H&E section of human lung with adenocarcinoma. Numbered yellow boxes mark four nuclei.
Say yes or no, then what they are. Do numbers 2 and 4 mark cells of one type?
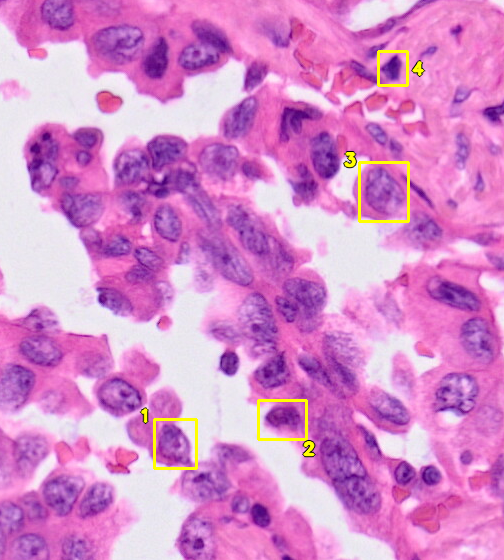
No, just to clarify, cell 2 is a carcinoma cell and cell 4 is a lymphocyte.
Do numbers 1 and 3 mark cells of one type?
Yes, in short, cells 1 and 3 are both carcinoma cells.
